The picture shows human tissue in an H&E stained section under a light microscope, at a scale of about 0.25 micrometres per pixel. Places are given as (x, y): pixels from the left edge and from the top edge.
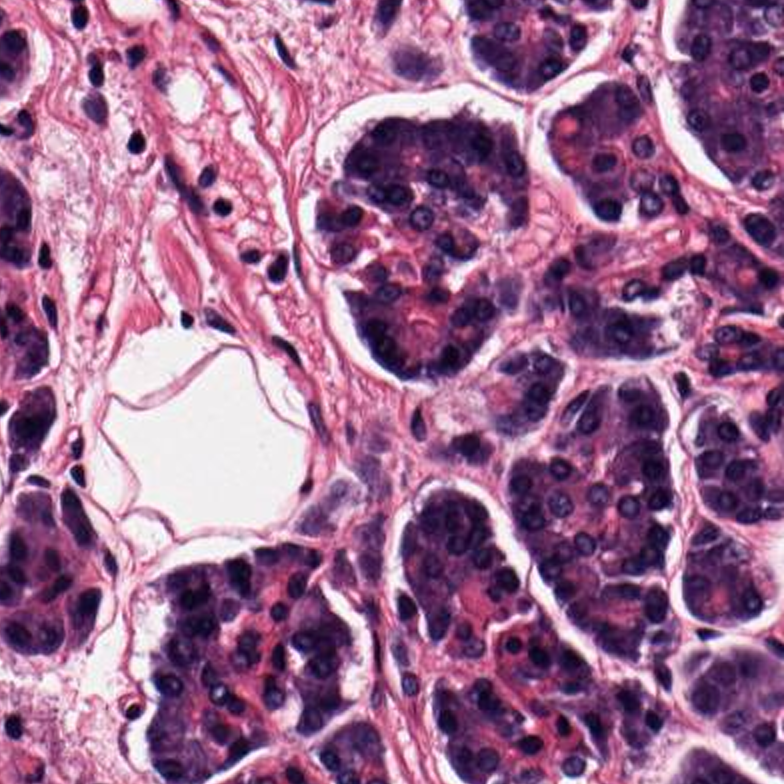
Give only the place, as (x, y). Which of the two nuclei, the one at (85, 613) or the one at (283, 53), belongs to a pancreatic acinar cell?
(85, 613)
